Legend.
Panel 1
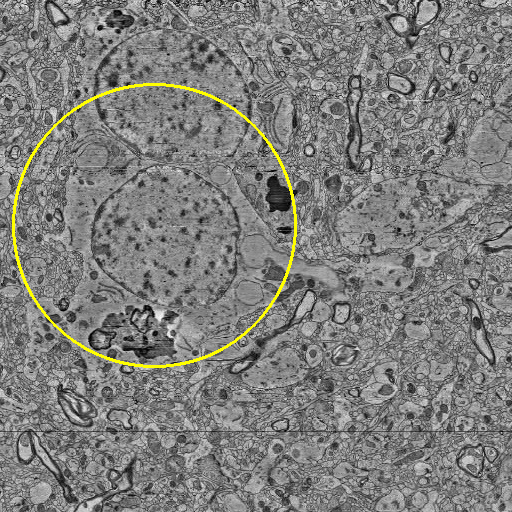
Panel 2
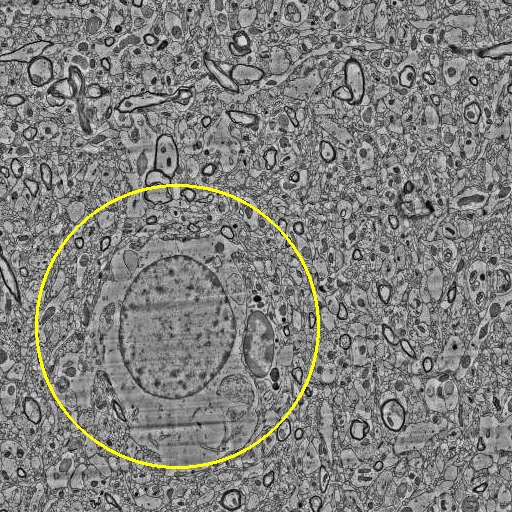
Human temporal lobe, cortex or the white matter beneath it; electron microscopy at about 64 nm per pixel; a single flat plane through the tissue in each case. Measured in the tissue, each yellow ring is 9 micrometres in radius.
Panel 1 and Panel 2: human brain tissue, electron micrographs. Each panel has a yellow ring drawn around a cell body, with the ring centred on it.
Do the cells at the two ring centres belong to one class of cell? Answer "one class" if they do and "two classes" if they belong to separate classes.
one class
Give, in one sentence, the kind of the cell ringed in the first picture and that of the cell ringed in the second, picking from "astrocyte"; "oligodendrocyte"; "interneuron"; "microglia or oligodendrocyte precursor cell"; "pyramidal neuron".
In the first picture and in the second, the ring is centred on an astrocyte.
